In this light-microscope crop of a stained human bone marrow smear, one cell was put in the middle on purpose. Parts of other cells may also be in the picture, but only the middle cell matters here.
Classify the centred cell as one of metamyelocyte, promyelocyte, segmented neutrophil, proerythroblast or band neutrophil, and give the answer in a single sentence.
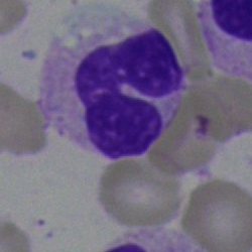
In the crop, the cell of interest at the centre is a band neutrophil.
